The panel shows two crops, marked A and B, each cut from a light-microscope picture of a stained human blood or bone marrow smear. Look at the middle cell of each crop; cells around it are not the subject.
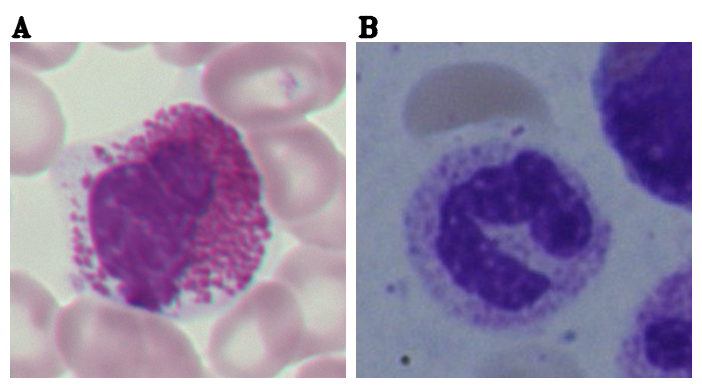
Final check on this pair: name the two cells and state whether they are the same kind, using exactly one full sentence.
No, at the centre of crop A is an eosinophil, and at the centre of crop B is a band neutrophil.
